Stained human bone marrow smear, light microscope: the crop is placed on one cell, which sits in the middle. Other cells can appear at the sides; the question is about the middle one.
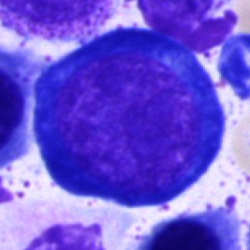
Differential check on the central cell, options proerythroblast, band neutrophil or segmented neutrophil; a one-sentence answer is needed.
The target cell in the middle of the crop is a proerythroblast.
